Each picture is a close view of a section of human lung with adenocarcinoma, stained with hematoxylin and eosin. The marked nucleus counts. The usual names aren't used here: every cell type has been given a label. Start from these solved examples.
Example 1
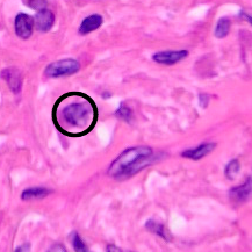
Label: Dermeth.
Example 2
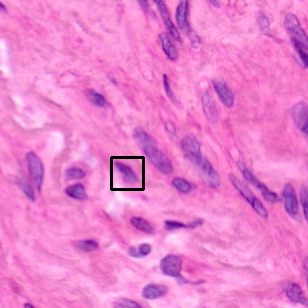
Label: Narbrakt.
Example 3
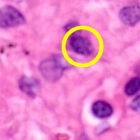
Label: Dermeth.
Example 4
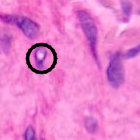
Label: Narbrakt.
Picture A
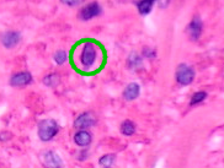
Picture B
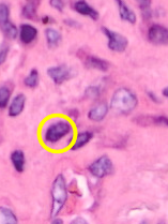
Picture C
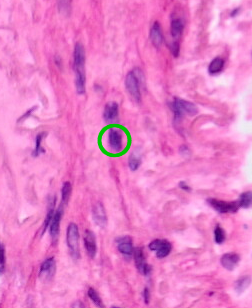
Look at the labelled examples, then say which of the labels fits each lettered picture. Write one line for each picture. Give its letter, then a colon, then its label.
A: Narbrakt.
B: Dermeth.
C: Narbrakt.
